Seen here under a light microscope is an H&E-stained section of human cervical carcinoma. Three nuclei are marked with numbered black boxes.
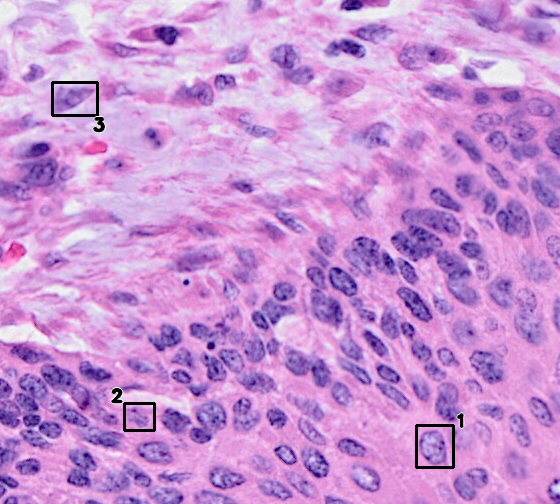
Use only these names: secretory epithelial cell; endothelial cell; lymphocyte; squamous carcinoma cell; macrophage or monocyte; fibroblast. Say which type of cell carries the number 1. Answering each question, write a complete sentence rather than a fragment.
Belonging to a squamous carcinoma cell is the nucleus that carries the number 1.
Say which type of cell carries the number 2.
Numbered cell 2 is a squamous carcinoma cell in this tissue section.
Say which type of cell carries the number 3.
The cell carrying label 3 is identified as a fibroblast.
